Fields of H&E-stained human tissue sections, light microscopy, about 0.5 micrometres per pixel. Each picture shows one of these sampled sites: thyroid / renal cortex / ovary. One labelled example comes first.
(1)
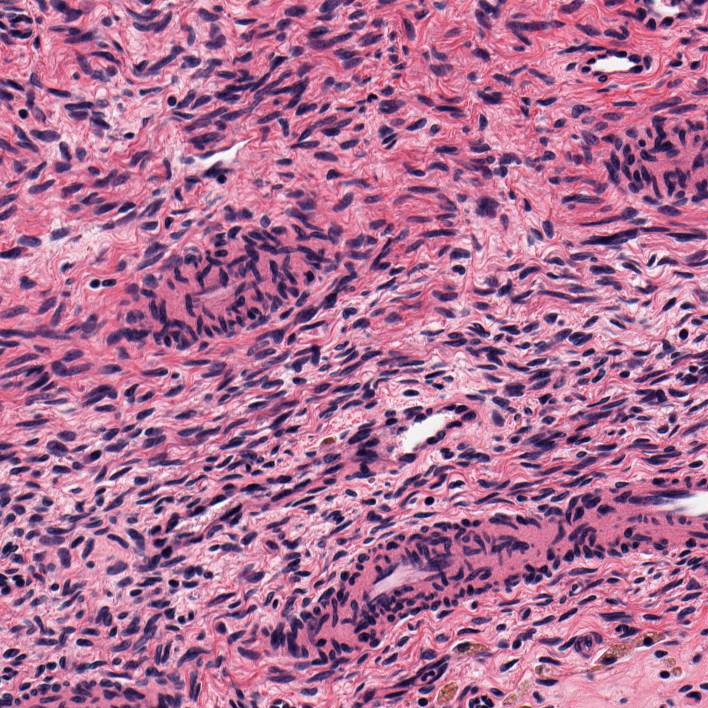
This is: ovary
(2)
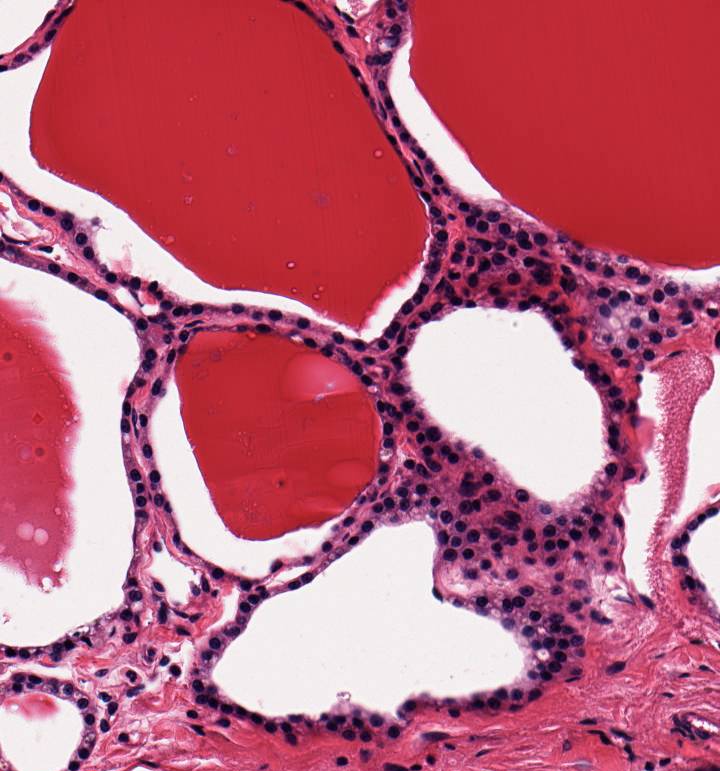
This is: thyroid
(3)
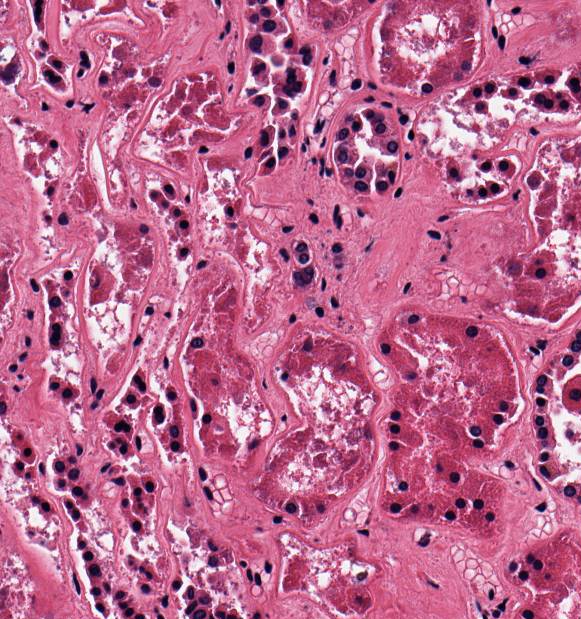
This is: renal cortex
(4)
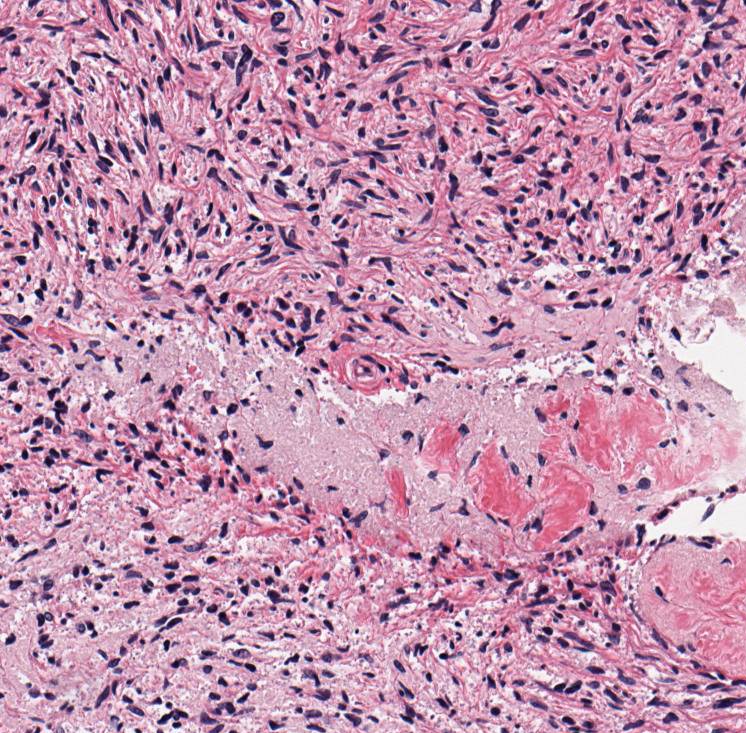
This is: ovary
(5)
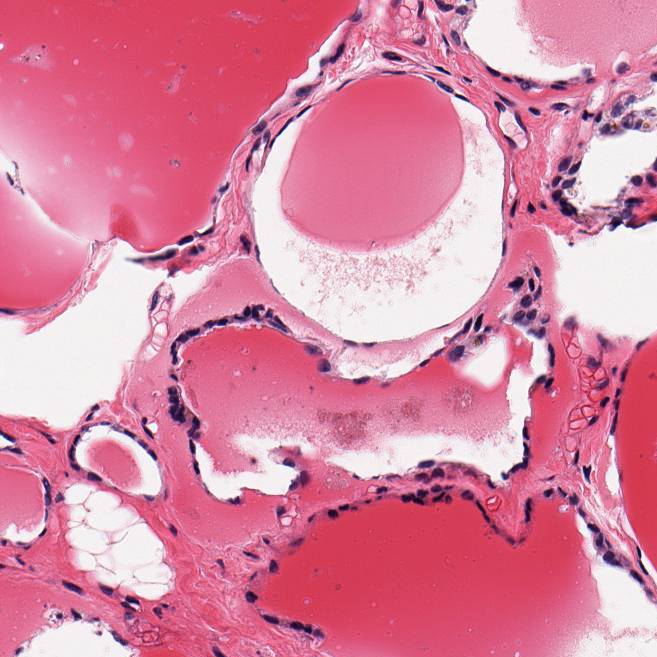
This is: thyroid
